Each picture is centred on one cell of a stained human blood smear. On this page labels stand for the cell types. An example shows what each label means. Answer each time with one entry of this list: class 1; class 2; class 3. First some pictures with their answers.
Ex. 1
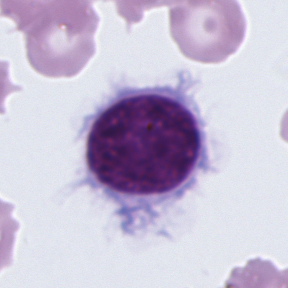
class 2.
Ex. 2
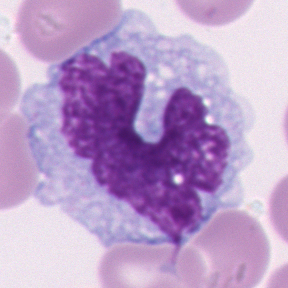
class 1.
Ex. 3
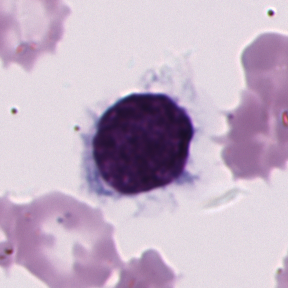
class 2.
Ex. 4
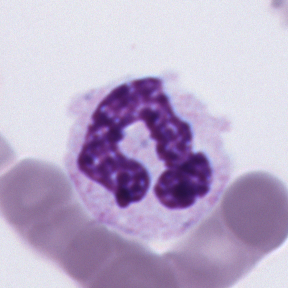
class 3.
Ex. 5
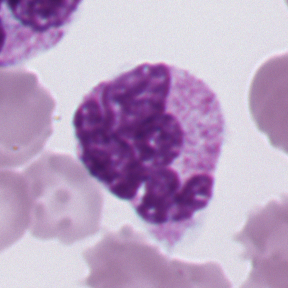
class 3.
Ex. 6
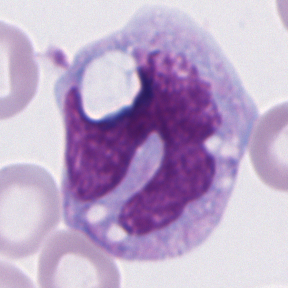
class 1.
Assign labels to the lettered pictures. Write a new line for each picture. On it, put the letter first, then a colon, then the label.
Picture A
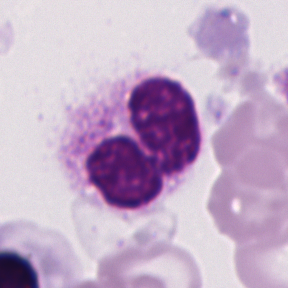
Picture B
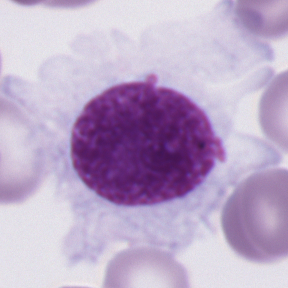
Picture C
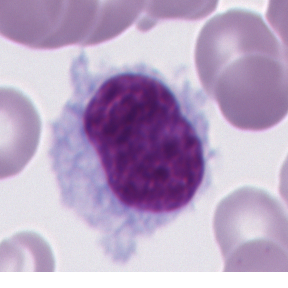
A: class 3.
B: class 2.
C: class 2.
